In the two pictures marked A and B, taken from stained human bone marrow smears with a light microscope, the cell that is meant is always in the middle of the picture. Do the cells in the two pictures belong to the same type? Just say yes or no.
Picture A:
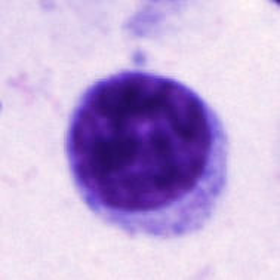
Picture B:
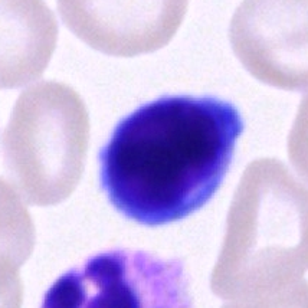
yes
